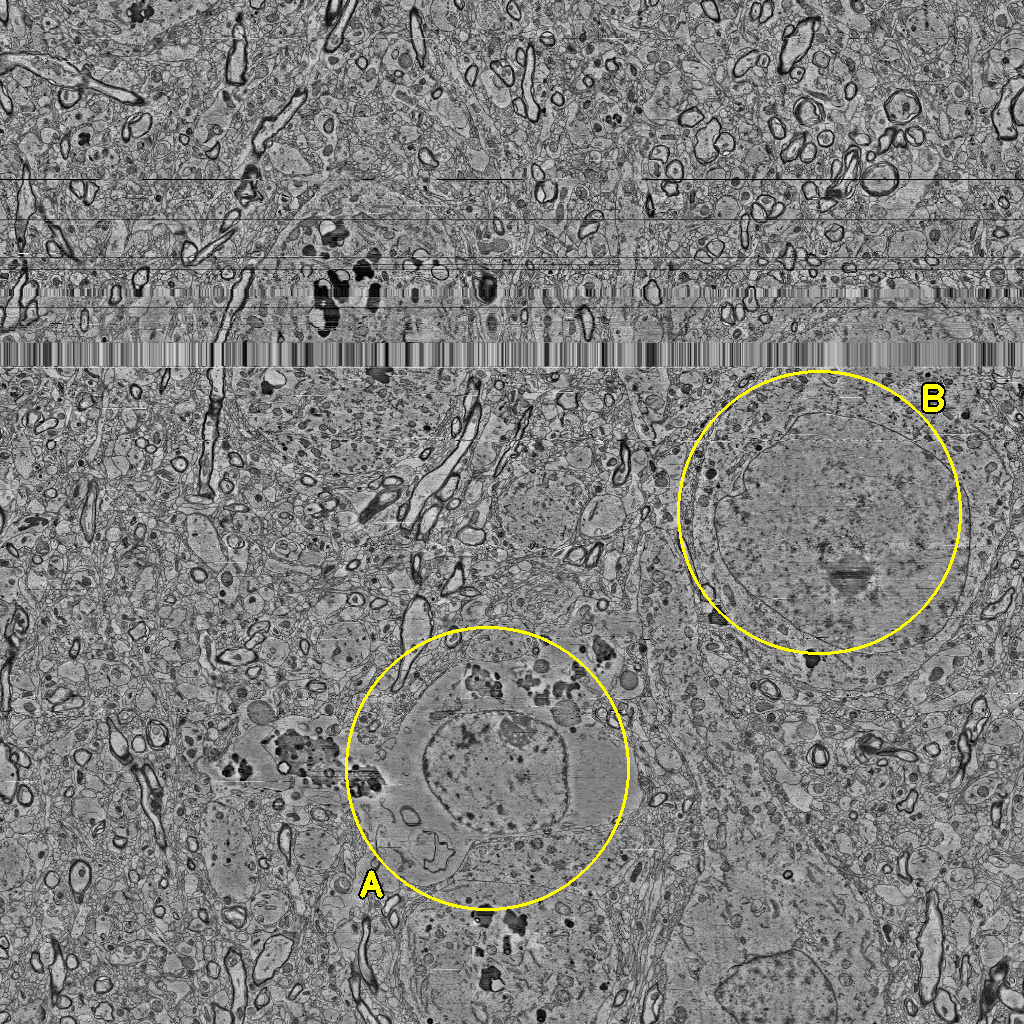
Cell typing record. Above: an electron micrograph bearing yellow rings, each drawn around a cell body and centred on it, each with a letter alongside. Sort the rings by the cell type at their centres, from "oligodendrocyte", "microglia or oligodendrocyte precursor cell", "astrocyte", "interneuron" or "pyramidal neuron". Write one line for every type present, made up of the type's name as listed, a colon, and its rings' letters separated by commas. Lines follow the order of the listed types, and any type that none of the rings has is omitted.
astrocyte: A
pyramidal neuron: B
